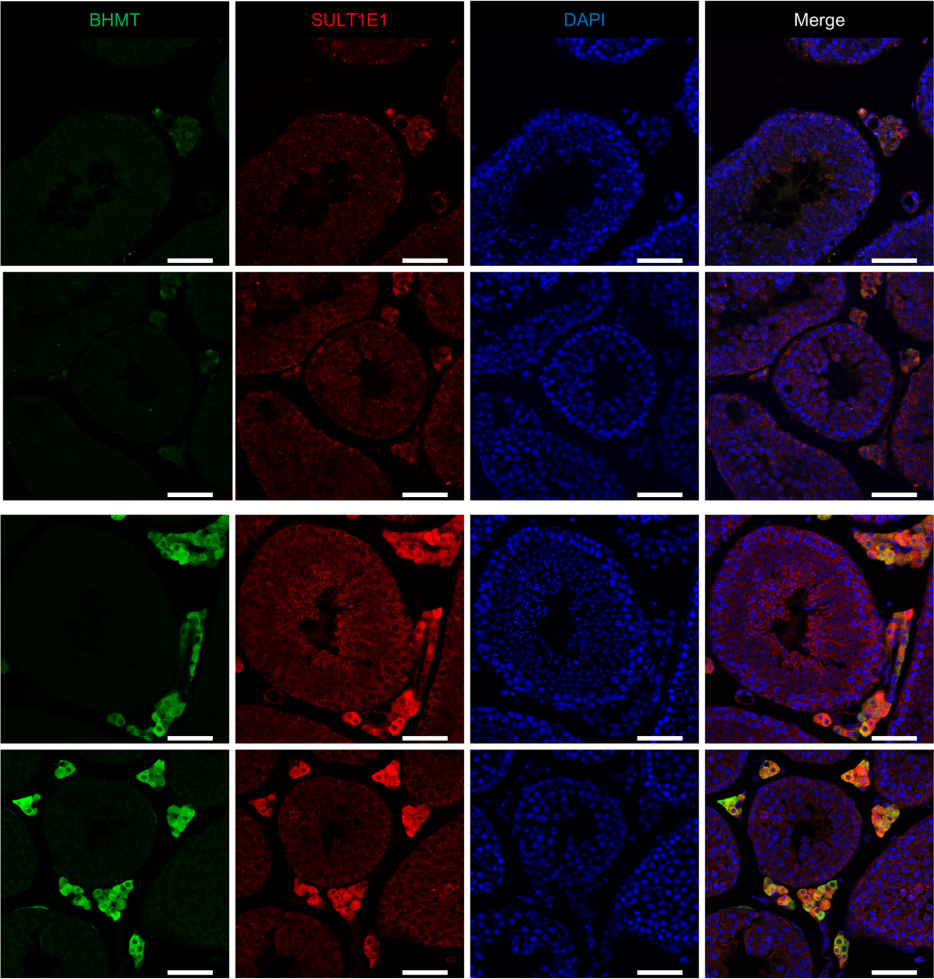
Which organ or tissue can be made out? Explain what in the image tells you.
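Testes. Large round tubule profiles are packed with many layers of small nuclei. Small groups of cells lie in the angular spaces between the tubules.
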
